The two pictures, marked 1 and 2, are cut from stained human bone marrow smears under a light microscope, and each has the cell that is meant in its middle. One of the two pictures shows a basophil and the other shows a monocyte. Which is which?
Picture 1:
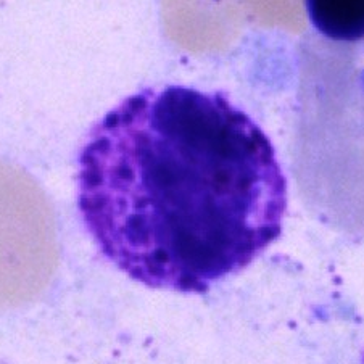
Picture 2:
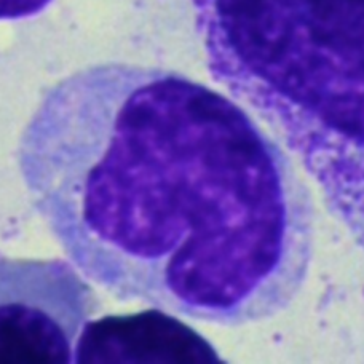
1: basophil
2: monocyte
